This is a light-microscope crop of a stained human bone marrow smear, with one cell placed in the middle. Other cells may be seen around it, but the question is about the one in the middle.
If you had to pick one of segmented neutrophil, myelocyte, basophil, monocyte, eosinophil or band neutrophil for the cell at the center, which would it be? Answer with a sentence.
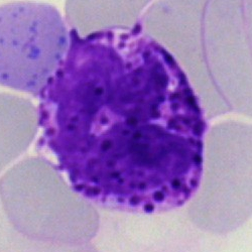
The central cell, amid any neighbouring cells, is a basophil.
